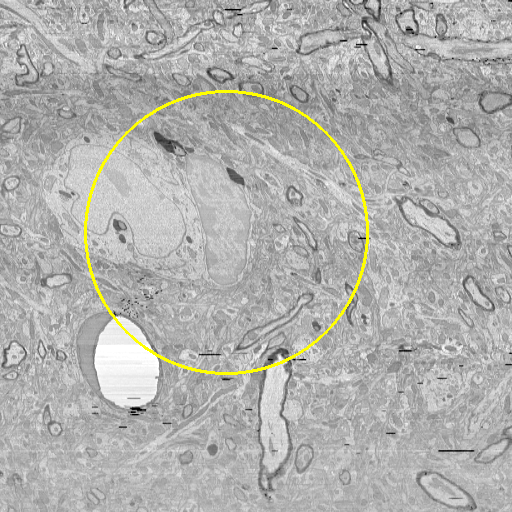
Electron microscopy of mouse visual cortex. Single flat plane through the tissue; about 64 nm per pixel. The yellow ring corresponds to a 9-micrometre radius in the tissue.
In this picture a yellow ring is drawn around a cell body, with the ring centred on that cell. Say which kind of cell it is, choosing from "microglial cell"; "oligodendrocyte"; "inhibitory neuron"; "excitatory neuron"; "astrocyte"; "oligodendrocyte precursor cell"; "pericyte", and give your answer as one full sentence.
Here it is a microglial cell that sits at the centre of the drawn yellow ring.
